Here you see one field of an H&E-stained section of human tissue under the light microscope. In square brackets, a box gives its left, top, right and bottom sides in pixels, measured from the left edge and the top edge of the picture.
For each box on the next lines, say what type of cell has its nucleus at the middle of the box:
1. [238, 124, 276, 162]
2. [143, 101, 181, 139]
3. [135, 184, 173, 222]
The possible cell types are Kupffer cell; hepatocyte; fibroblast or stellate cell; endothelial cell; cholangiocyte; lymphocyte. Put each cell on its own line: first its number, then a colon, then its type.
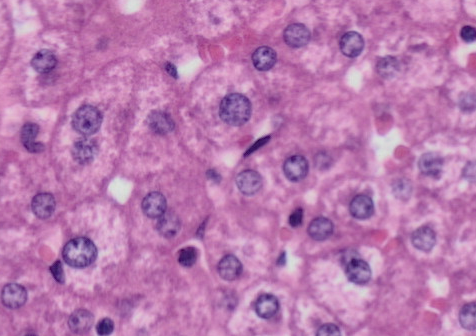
1: endothelial cell
2: hepatocyte
3: hepatocyte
